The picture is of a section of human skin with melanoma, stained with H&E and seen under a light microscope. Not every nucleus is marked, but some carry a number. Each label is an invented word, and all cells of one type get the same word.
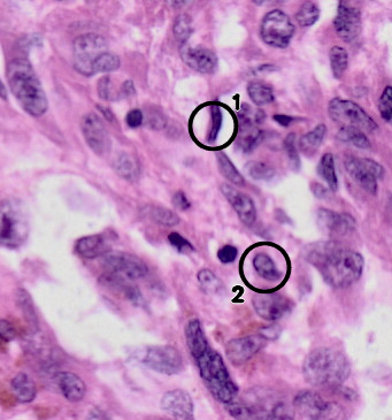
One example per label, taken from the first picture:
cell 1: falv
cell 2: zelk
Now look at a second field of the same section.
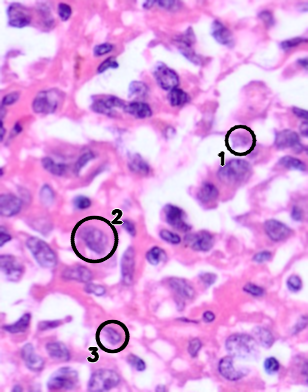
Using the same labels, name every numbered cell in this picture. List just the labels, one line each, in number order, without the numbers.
falv
falv
zelk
